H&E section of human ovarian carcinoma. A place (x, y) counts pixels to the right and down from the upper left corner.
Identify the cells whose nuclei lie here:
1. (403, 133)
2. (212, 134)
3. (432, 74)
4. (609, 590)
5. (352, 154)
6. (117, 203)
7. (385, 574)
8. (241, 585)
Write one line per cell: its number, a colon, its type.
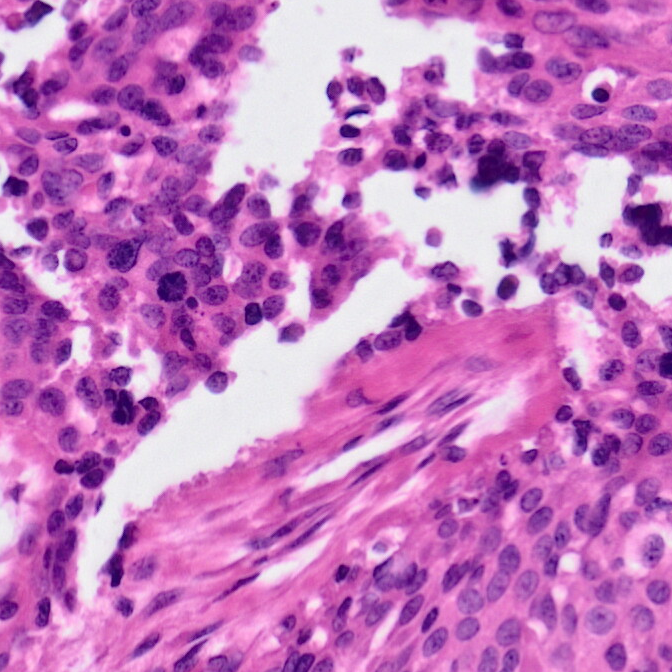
1: carcinoma cell
2: macrophage or monocyte
3: macrophage or monocyte
4: carcinoma cell
5: macrophage or monocyte
6: carcinoma cell
7: carcinoma cell
8: fibroblast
